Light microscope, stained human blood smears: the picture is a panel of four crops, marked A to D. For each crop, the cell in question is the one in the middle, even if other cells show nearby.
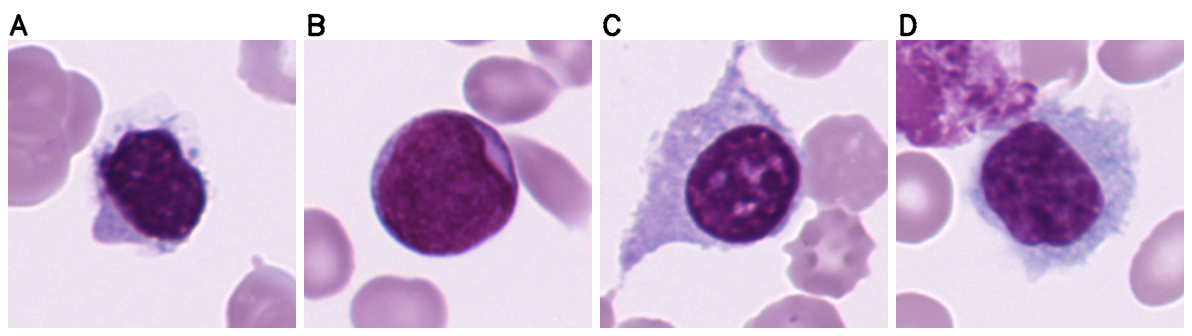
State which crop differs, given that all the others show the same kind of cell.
B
